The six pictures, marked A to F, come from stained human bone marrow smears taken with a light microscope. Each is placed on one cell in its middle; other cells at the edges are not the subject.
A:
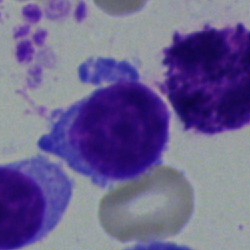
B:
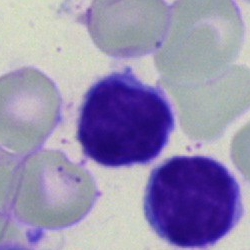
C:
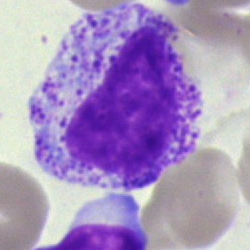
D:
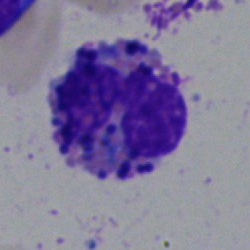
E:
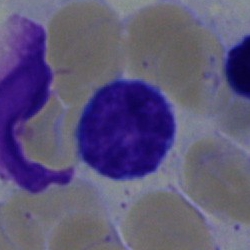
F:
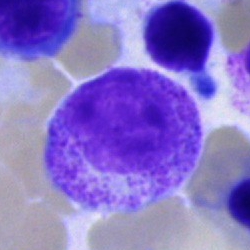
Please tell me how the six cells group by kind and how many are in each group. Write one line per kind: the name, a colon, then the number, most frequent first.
lymphocyte: 3
myelocyte: 2
basophil: 1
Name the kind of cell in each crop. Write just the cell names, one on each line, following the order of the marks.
lymphocyte
lymphocyte
myelocyte
basophil
lymphocyte
myelocyte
